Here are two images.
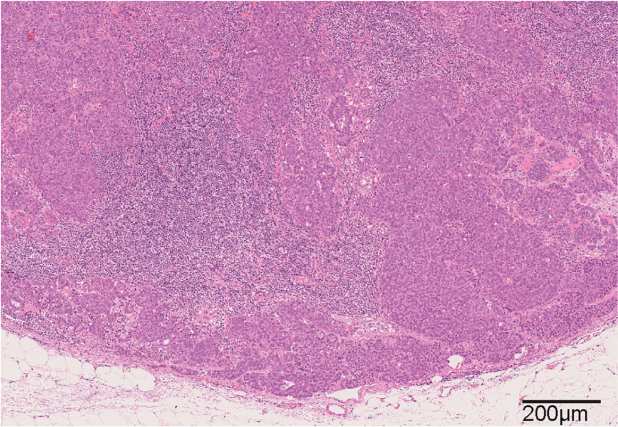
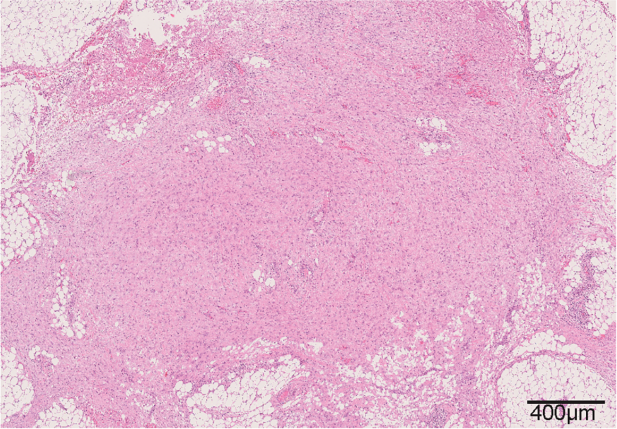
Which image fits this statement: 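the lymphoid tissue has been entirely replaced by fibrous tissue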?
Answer: the second image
